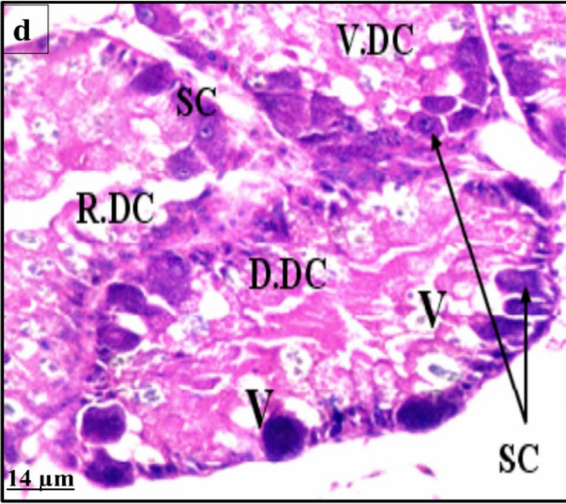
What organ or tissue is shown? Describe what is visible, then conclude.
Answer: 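Digestive gland. Epithelial cells with pale pink cytoplasm form tubules. Dark purple cells lie at the epithelial base.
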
